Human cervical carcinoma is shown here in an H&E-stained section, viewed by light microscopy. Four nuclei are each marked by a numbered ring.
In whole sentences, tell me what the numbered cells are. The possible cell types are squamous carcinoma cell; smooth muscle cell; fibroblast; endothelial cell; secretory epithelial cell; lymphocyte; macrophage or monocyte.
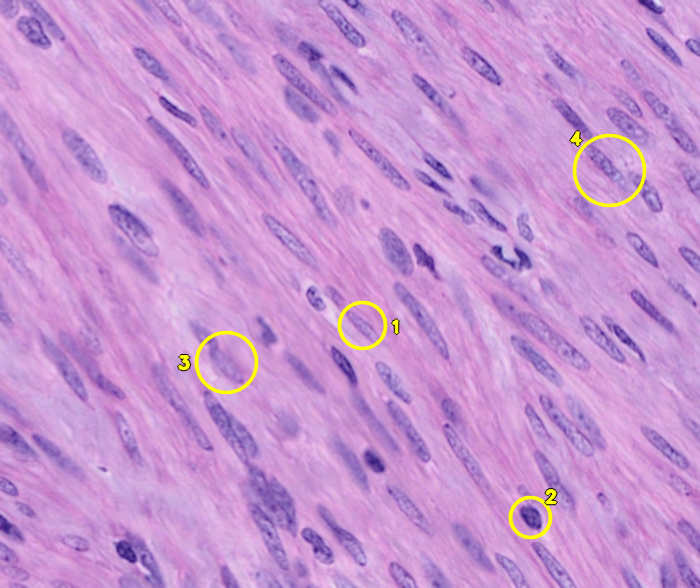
Cell 1 is a smooth muscle cell, cell 2 is a lymphocyte, cell 3 is a smooth muscle cell and cell 4 is a smooth muscle cell.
